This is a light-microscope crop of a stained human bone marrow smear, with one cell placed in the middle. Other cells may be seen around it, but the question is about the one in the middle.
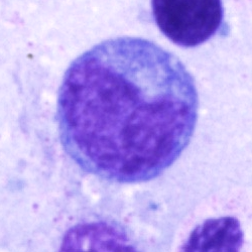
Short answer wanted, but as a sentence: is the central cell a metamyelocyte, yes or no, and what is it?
No, the central cell is counted as a monocyte instead of a metamyelocyte.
